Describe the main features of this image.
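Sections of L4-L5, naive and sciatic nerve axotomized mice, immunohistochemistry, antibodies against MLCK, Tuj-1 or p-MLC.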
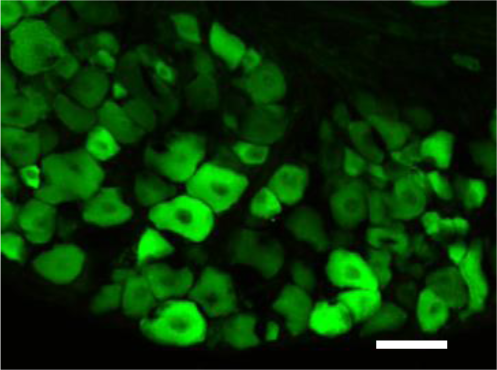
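This is a dorsal root ganglion section crowded with sensory neuron cell bodies of varying size. Many bodies glow bright green throughout the cytoplasm, and several show a rounder central nucleus; the cells lie closely packed above a darker, cell-poor margin.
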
